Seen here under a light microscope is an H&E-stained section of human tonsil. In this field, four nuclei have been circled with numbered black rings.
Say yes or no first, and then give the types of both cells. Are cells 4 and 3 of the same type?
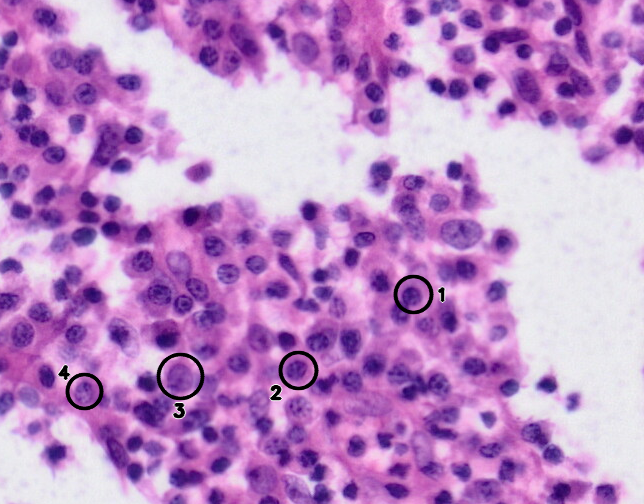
No, unlike cell 3, which is a squamous epithelial cell, cell 4 is a plasma cell.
